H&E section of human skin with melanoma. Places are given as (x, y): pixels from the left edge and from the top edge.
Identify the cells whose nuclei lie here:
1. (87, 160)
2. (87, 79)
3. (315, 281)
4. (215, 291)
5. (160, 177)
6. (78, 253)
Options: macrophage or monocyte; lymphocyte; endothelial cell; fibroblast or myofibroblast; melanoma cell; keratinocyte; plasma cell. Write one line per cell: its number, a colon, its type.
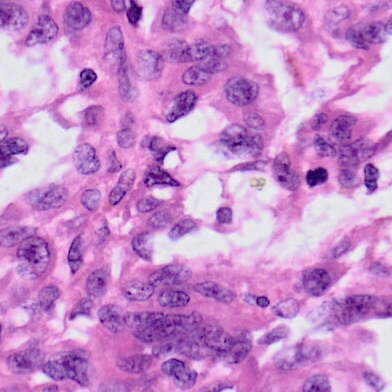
1: melanoma cell
2: lymphocyte
3: melanoma cell
4: melanoma cell
5: melanoma cell
6: macrophage or monocyte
